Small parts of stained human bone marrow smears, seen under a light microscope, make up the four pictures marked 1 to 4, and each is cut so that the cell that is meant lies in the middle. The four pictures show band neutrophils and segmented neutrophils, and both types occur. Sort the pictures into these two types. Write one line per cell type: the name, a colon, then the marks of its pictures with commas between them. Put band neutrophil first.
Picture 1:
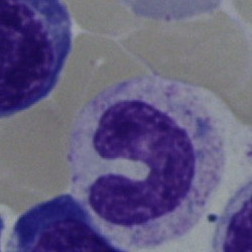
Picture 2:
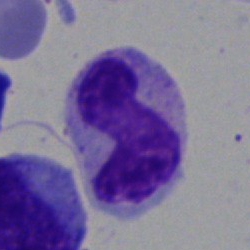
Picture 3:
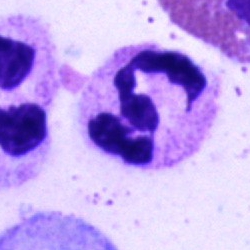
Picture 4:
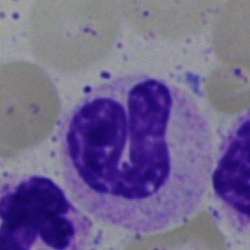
band neutrophil: 1, 2, 4
segmented neutrophil: 3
